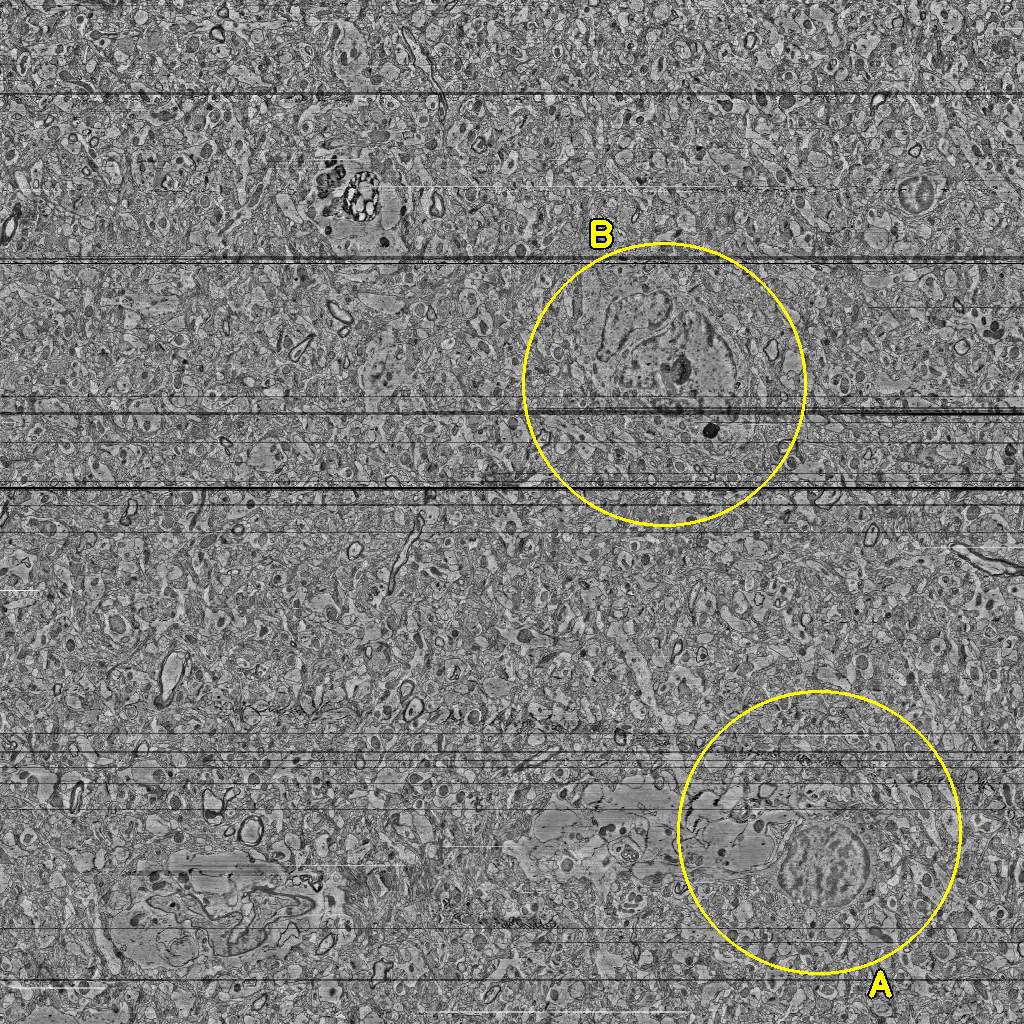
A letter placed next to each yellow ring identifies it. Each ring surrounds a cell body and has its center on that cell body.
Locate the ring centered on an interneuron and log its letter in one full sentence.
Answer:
Ring B has at its center the cell that the task asks for.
